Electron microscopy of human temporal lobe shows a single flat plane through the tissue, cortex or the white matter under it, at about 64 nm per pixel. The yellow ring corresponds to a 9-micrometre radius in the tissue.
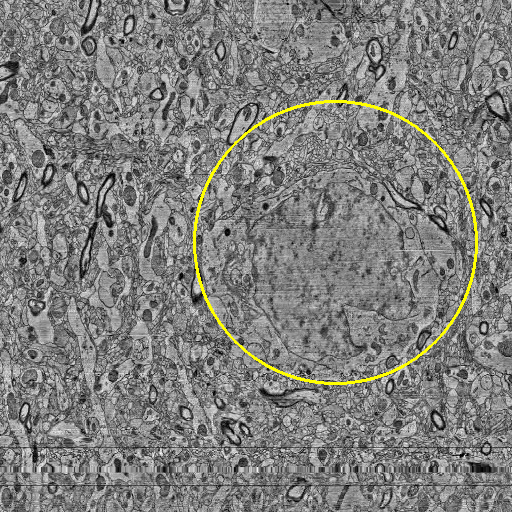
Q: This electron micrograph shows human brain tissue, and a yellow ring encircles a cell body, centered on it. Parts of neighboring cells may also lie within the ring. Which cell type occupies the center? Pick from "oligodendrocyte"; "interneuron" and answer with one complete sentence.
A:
What sits at the ring's center in this micrograph is an interneuron, among those choices.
